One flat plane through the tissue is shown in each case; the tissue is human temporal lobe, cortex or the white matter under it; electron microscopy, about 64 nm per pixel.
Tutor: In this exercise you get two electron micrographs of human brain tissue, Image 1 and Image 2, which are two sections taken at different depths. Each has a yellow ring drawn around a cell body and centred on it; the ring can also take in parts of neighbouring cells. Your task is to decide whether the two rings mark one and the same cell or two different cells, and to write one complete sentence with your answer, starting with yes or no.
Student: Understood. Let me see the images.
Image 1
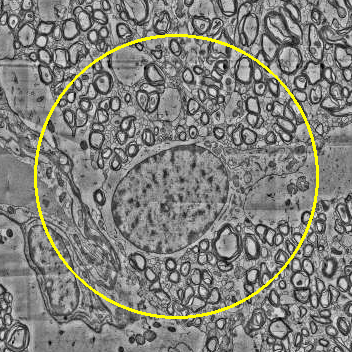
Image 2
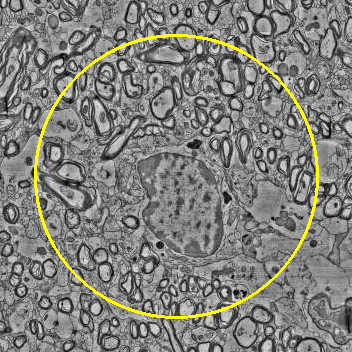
No, one ring marks one cell and the other ring marks another.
